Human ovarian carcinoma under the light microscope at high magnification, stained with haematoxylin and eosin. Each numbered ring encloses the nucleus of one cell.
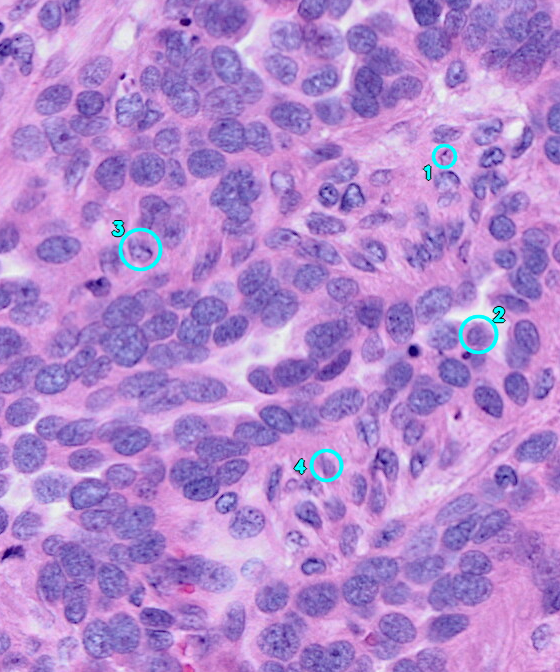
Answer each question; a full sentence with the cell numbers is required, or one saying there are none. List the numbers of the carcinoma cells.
Just the cell marked 2 is a carcinoma cell; none of the other marked cells is.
